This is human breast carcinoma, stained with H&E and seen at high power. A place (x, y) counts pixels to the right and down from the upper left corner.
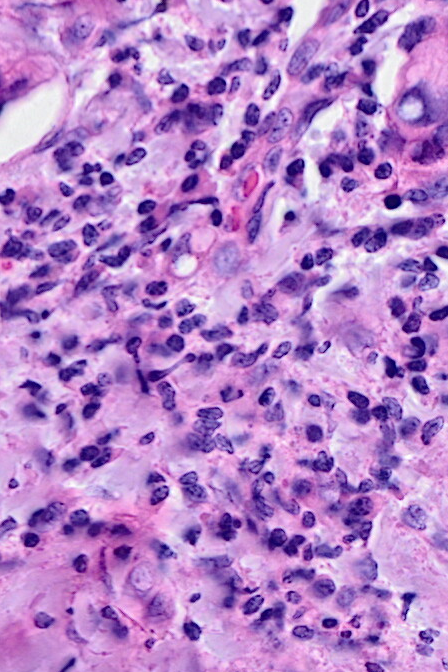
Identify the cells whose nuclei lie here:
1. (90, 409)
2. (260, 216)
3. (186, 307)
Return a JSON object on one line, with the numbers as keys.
{"1": "lymphocyte", "2": "endothelial cell", "3": "lymphocyte"}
